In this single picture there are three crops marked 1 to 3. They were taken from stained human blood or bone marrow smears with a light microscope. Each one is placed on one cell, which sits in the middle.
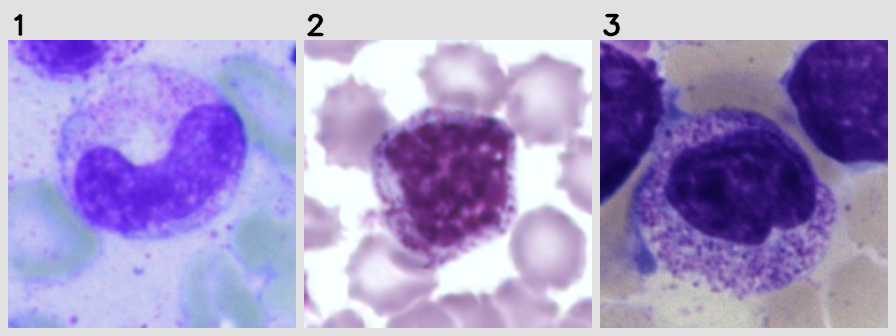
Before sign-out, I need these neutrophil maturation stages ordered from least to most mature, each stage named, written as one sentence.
Ranked from least to most mature, the sequence is crop 2 (a myelocyte), crop 3 (a metamyelocyte) and crop 1 (a band neutrophil).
